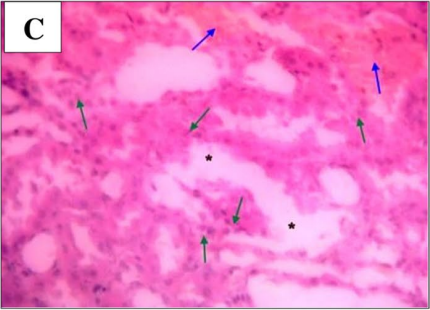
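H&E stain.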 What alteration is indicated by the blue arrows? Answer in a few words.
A: Interstitial hemorrhage.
